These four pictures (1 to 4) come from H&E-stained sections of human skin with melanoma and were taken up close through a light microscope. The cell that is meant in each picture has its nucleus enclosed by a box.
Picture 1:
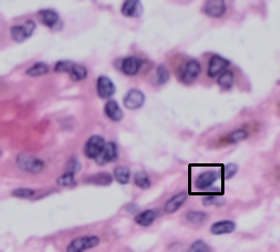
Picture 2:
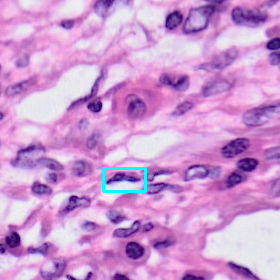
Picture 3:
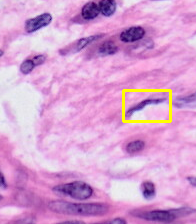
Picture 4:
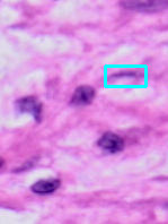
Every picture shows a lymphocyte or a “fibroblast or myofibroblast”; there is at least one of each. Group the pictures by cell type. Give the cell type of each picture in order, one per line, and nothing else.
lymphocyte
fibroblast or myofibroblast
fibroblast or myofibroblast
fibroblast or myofibroblast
